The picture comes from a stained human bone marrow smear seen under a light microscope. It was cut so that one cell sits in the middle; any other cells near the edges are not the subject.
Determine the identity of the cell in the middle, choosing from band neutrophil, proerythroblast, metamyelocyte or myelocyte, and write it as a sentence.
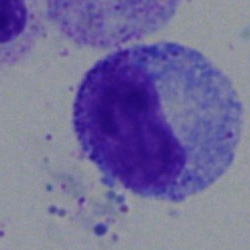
The middle cell in this particular crop is a metamyelocyte.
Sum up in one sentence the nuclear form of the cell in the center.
A single compact nucleus is present, shaped round, oval or like a kidney.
